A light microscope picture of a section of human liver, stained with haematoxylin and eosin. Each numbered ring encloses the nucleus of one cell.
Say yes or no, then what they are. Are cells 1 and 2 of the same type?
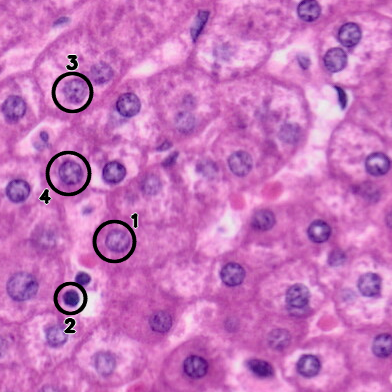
No, the identities are a hepatocyte for cell 1 and a lymphocyte for cell 2.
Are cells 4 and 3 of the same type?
Yes, just like cell 4, cell 3 is one of the hepatocytes.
